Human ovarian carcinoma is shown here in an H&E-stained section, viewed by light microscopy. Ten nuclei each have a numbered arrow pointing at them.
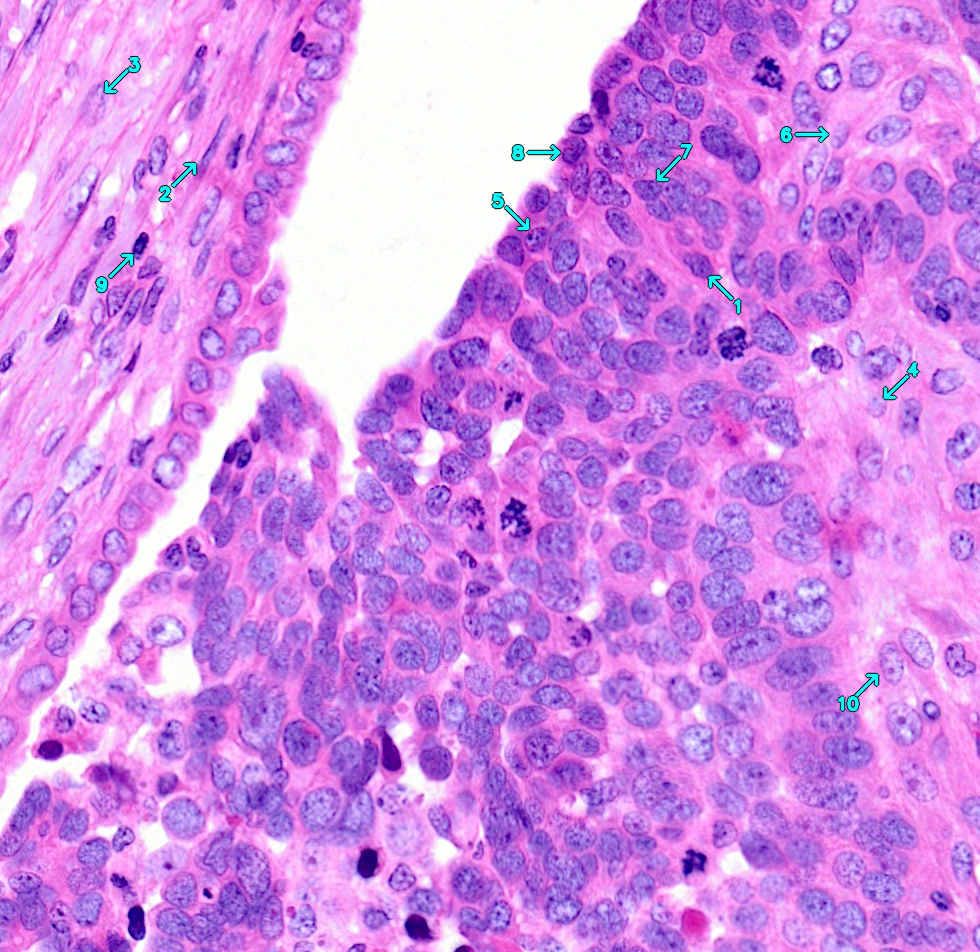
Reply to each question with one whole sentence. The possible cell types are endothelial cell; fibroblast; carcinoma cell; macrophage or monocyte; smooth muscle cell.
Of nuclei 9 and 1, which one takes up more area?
Of the two, number 1 is bigger and takes up about 2 times the area of number 9.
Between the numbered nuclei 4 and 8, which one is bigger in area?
Nucleus 8 covers more area, about 2 times as much as nucleus 4.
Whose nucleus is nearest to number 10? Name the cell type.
The cell nearest to number 10 is a fibroblast.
